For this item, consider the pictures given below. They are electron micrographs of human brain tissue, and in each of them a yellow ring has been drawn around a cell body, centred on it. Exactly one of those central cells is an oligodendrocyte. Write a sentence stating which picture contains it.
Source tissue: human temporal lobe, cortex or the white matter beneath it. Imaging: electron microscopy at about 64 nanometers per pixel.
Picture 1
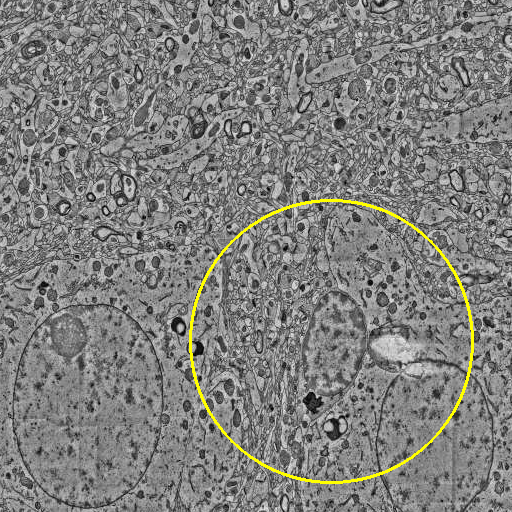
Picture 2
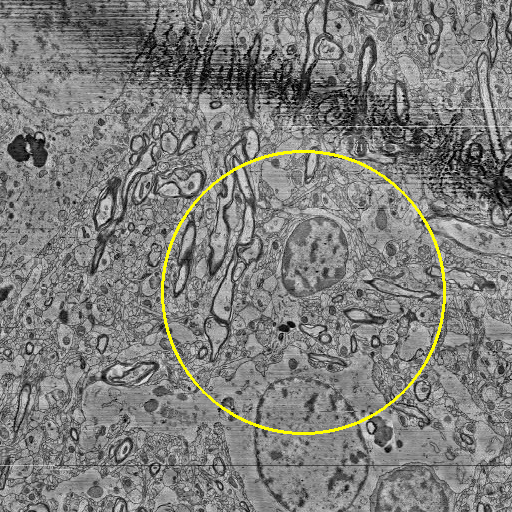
It is in Picture 1.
